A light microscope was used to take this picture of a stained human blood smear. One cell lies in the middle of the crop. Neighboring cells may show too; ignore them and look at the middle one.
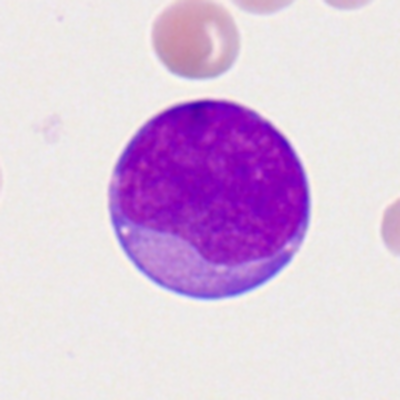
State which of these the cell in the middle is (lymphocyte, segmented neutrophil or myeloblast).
myeloblast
